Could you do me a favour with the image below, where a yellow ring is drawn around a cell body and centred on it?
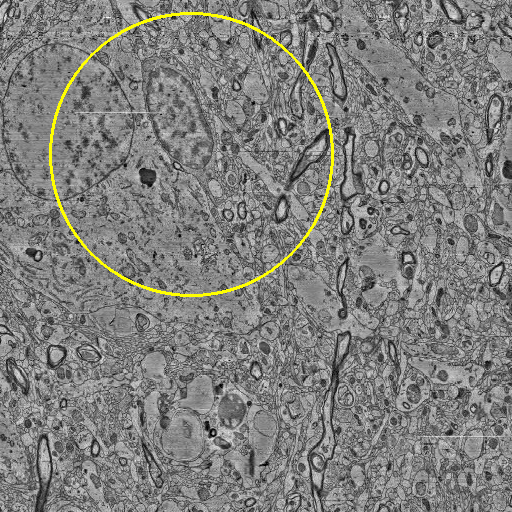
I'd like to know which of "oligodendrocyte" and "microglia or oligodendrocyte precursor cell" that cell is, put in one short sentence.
The cell at the ring's centre is an oligodendrocyte.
